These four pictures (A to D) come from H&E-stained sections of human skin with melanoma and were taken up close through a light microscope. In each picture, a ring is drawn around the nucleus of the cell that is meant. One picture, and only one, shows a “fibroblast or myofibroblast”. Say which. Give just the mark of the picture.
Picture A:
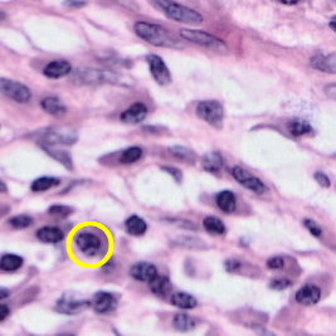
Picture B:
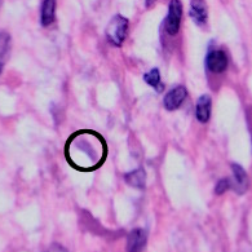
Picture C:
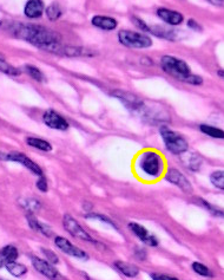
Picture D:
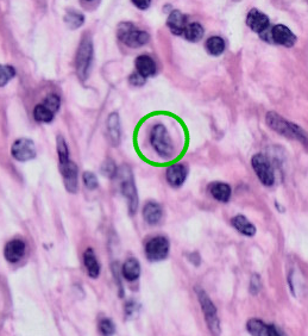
B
